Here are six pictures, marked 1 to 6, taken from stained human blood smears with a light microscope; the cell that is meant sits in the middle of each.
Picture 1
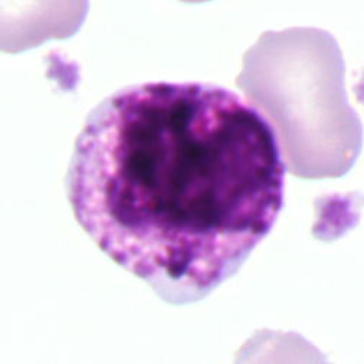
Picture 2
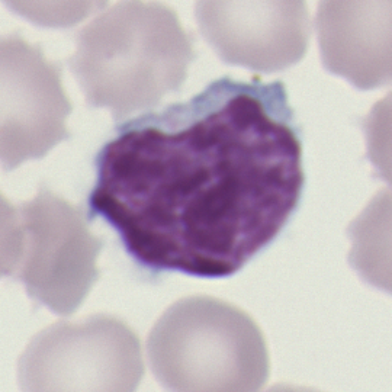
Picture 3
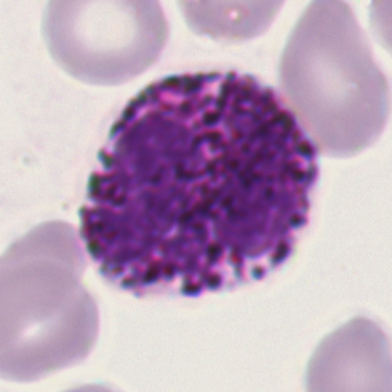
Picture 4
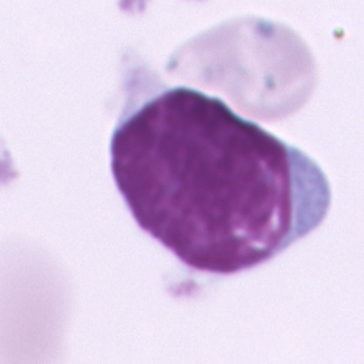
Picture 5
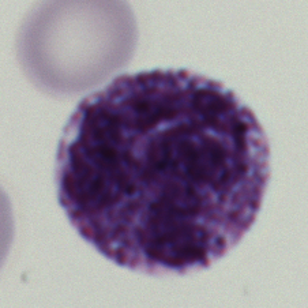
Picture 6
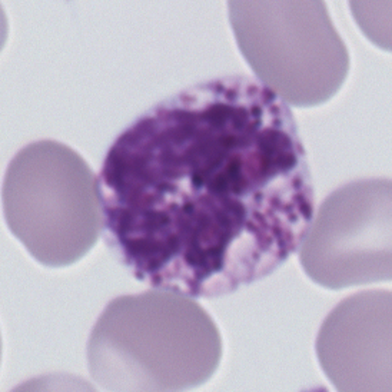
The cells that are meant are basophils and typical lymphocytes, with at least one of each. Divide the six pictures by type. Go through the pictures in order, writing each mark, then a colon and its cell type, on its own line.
1: basophil
2: typical lymphocyte
3: basophil
4: typical lymphocyte
5: basophil
6: basophil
